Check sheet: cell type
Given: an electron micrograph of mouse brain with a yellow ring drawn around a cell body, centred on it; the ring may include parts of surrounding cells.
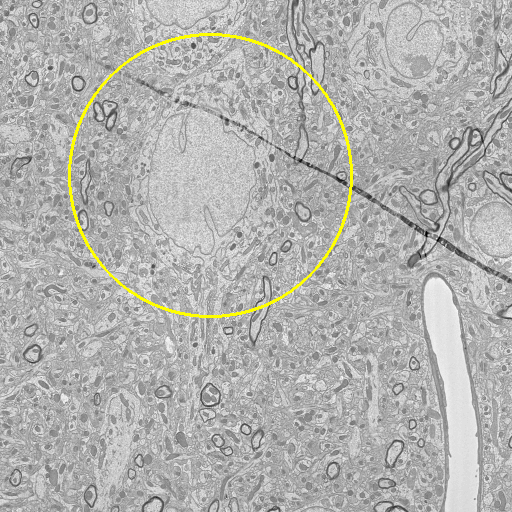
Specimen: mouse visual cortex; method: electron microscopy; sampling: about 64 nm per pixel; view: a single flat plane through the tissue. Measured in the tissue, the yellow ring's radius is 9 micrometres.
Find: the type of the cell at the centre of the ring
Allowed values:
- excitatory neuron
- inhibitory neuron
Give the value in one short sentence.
Here the ringed cell is an inhibitory neuron.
